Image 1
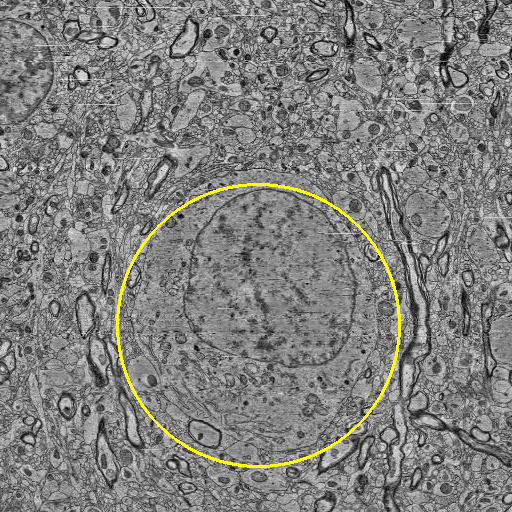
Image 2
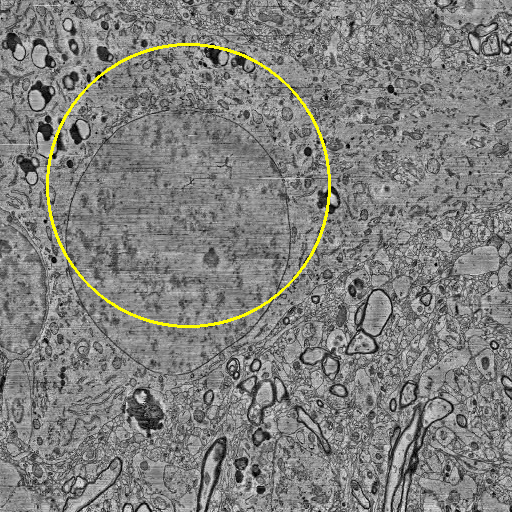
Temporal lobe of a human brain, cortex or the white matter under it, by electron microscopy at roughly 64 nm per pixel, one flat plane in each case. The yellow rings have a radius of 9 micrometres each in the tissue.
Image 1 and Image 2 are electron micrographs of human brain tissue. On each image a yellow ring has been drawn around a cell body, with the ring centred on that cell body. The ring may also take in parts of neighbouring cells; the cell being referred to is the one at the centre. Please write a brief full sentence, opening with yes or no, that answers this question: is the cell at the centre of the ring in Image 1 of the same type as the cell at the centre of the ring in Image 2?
Yes, both cells are of the same type.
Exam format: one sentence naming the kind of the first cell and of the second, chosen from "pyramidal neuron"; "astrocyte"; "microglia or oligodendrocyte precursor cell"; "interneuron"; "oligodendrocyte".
The first and the second cell are each a pyramidal neuron.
